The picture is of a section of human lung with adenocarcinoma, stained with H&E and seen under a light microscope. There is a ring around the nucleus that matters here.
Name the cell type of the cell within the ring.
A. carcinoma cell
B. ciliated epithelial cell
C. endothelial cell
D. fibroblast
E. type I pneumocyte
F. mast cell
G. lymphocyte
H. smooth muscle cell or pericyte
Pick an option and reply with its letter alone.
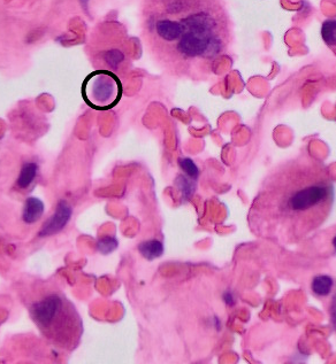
E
